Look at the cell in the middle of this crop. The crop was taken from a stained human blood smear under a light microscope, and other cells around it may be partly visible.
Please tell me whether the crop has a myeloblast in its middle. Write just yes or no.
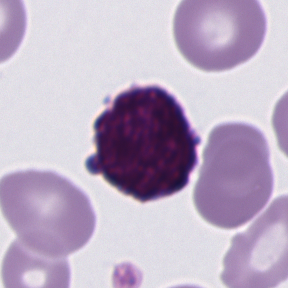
yes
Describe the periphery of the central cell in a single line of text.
The border of the cell is irregular, being either ragged or extended into projections.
